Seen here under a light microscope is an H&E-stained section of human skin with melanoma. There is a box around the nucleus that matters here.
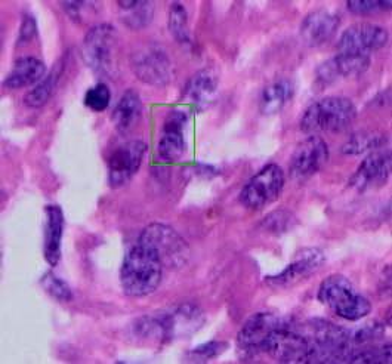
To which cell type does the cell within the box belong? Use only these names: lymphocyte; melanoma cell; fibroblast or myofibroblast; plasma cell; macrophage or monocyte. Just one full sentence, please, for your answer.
In the tissue under study, the cell within the box is a melanoma cell.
